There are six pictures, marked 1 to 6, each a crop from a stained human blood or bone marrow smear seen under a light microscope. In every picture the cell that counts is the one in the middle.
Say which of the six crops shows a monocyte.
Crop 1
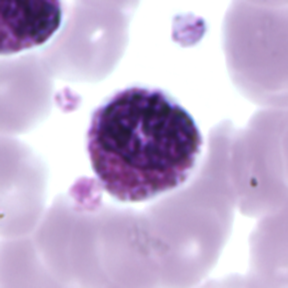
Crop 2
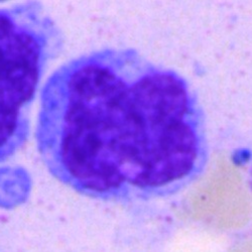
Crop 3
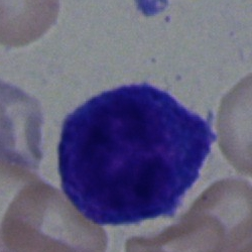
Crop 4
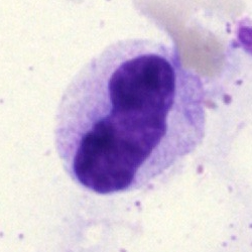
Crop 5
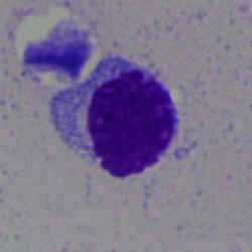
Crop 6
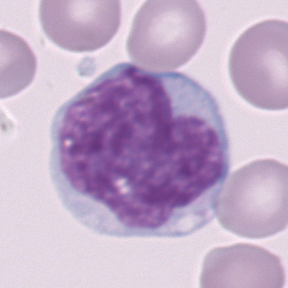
2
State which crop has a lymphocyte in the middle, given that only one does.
5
